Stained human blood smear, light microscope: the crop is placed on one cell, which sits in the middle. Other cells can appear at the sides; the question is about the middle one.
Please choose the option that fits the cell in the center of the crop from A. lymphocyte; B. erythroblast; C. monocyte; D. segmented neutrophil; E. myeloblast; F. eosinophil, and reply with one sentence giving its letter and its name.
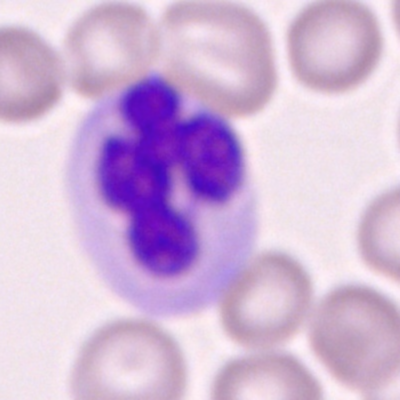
Since the cell in the centre is a monocyte, the correct option is C.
